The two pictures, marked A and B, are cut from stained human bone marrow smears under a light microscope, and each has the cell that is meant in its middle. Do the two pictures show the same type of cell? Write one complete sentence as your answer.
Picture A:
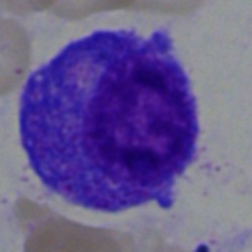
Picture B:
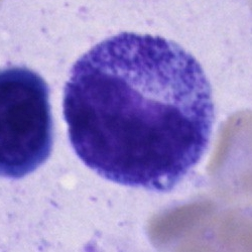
Yes; the cells in both pictures are promyelocytes.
